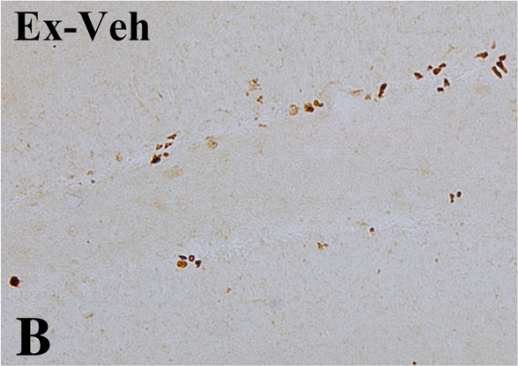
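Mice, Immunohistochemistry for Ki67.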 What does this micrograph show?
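Small dark brown nuclei, often in pairs or small clumps, are lined up along a curved band across a pale, unstained background of the dentate gyrus. Only a few stained nuclei lie scattered away from this line. The line of clustered stained nuclei marks the subgranular zone at the inner edge of the granule cell layer.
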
